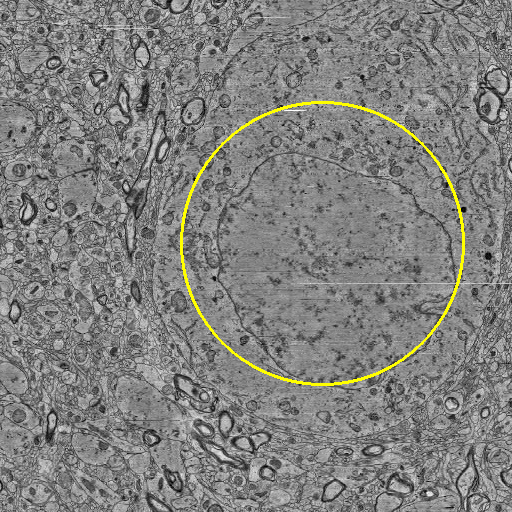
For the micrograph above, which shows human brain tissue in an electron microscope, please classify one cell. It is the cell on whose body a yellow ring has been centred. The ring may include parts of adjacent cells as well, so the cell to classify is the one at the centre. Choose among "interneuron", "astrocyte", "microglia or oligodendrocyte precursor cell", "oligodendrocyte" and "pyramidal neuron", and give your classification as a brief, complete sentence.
I classify this cell as a pyramidal neuron.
